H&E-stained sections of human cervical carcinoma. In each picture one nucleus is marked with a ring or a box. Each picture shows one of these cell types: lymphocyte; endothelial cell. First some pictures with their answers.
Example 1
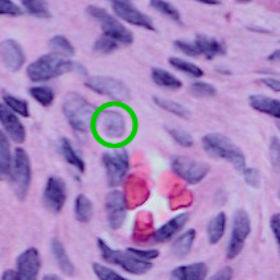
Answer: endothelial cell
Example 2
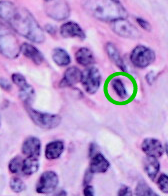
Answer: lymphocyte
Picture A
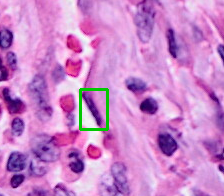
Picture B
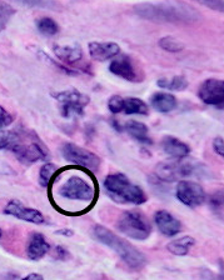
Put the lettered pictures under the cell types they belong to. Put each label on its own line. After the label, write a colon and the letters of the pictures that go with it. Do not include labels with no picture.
lymphocyte: B
endothelial cell: A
